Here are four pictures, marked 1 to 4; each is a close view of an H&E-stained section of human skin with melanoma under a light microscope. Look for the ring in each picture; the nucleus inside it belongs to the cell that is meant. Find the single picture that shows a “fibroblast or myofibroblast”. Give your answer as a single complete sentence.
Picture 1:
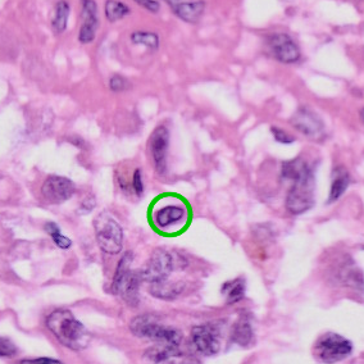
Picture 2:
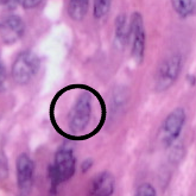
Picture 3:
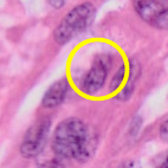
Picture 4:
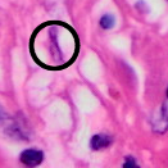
The “fibroblast or myofibroblast” is the one in picture 4.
